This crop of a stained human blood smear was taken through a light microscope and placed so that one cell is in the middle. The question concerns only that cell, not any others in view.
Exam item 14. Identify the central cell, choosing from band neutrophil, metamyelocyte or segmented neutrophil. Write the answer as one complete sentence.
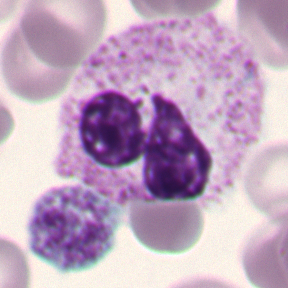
The middle position in this crop is taken by a segmented neutrophil.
